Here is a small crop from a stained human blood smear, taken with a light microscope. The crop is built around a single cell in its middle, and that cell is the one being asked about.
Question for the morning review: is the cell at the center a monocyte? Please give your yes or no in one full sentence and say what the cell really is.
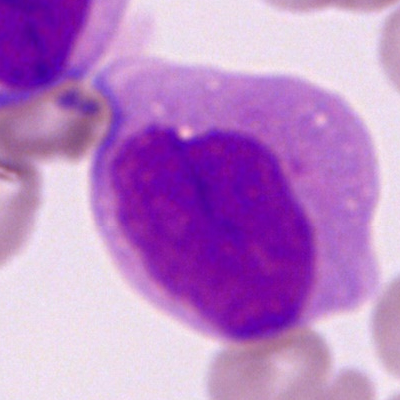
No, the cell at the centre is a blast, which rules out a monocyte.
